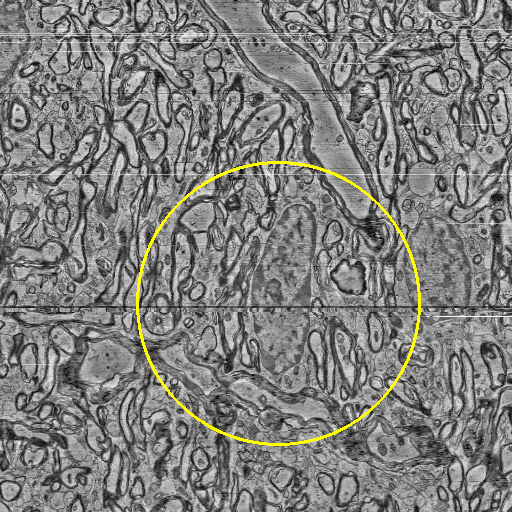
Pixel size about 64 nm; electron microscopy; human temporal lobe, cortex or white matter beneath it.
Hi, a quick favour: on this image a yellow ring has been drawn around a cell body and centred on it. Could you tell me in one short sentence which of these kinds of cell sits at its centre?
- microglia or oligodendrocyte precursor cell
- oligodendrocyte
The ring is centred on a microglial cell or oligodendrocyte precursor cell.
